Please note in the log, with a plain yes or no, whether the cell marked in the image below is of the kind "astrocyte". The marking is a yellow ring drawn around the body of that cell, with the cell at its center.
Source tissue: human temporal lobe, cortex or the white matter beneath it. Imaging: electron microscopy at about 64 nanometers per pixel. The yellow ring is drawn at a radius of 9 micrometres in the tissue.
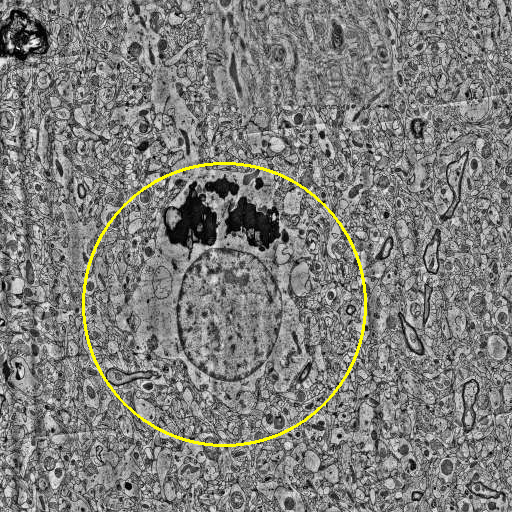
yes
